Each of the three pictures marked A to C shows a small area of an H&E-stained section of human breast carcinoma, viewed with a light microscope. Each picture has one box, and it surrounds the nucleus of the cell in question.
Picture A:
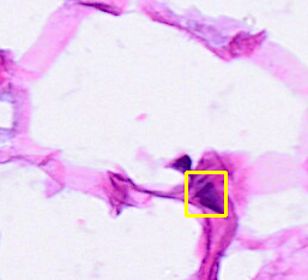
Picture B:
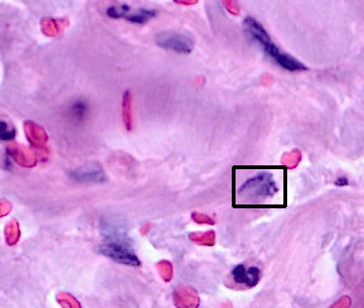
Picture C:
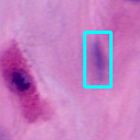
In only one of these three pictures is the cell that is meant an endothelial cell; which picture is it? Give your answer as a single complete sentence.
It is picture A that shows the endothelial cell.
